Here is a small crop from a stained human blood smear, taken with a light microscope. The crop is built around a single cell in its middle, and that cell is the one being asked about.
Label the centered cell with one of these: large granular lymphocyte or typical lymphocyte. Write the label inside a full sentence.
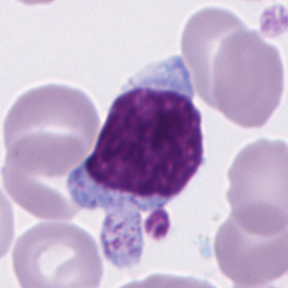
Occupying the centre of the crop is a large granular lymphocyte.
